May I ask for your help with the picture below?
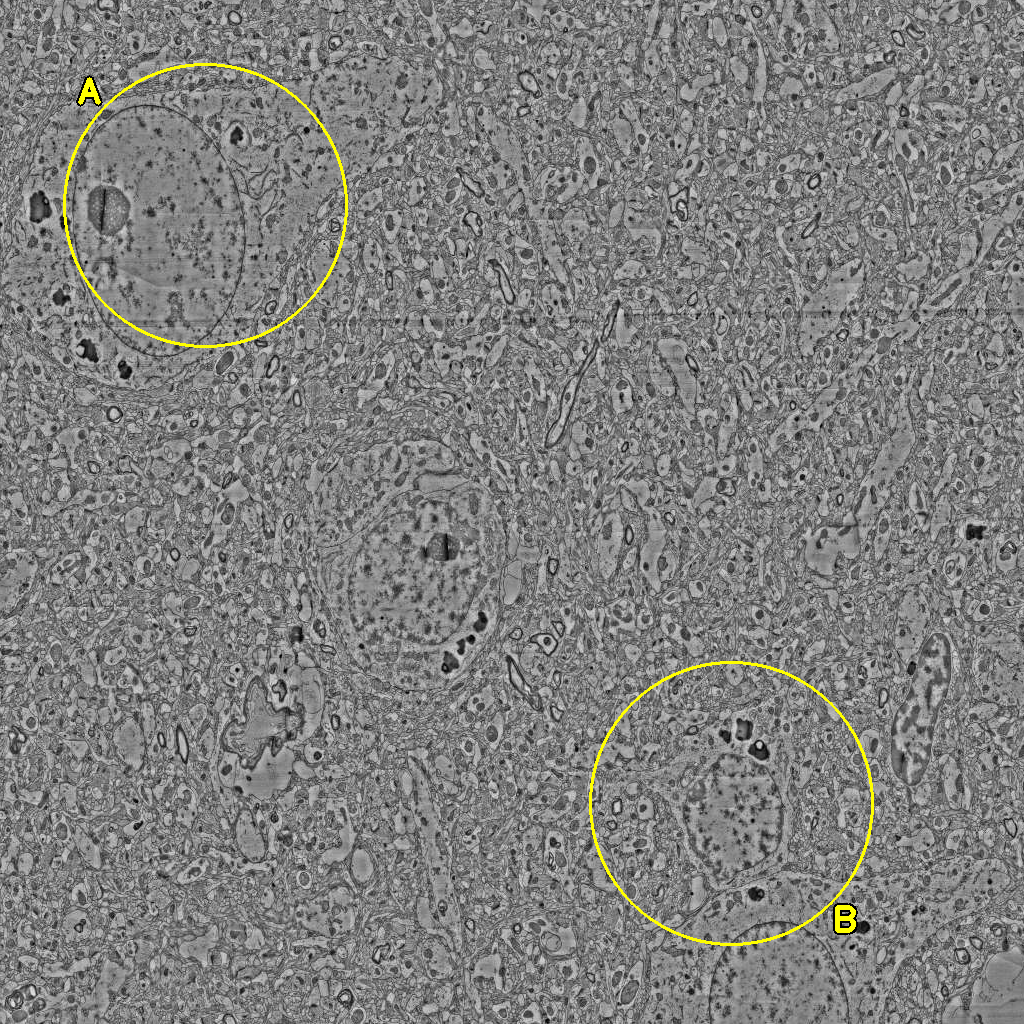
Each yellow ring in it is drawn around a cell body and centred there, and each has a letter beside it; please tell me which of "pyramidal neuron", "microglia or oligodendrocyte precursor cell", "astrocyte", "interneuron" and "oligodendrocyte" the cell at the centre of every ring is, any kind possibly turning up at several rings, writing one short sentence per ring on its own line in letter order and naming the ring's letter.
Ring A is drawn around the cell body of a pyramidal neuron.
Ring B is drawn around the cell body of an interneuron.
